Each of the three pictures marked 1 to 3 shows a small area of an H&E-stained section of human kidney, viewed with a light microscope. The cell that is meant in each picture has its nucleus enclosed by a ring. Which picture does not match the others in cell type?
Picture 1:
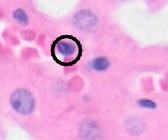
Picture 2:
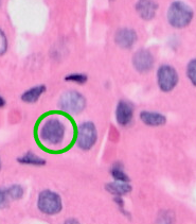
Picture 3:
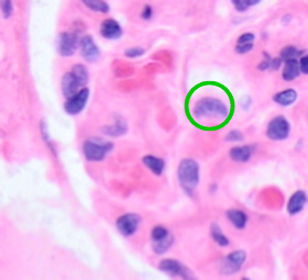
2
